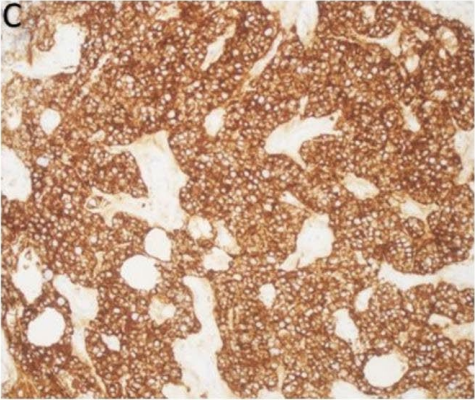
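The stain lies in the cytoplasm, so that each cell appears as a small brown polygon with a paler centre where the nucleus sits, giving a fine honeycomb pattern. The staining is uniform across the field, with little difference in intensity from one cell to the next.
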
